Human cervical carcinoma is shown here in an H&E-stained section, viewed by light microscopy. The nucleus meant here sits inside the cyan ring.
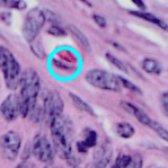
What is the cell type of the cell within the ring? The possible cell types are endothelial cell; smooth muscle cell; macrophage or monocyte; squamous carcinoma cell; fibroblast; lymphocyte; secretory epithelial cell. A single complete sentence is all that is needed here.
In this section of tissue, the cell within the ring is an endothelial cell.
